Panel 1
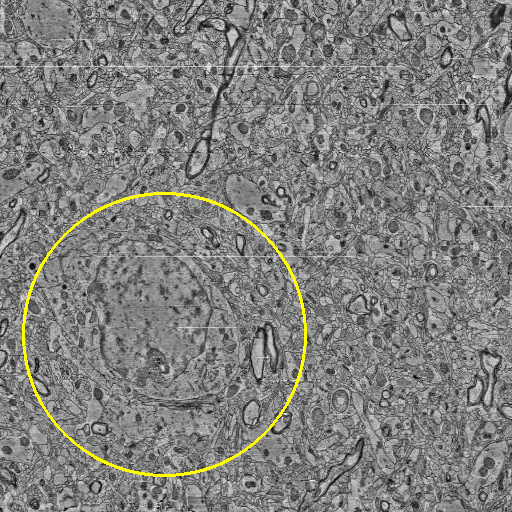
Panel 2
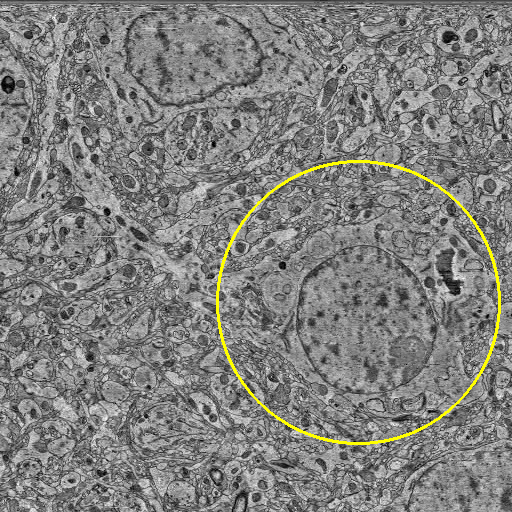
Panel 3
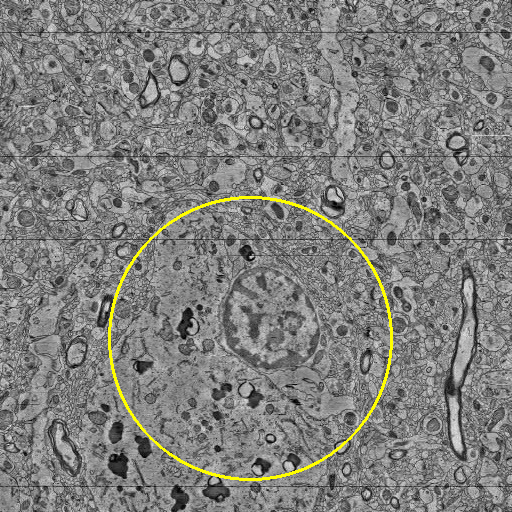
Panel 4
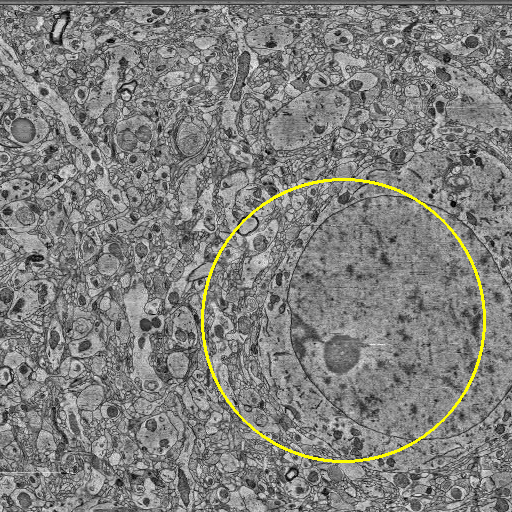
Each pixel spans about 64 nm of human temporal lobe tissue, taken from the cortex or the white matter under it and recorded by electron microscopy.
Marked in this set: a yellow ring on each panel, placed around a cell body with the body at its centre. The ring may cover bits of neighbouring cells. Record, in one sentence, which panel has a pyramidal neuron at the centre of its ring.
Panel 4 has it at the centre of its ring.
